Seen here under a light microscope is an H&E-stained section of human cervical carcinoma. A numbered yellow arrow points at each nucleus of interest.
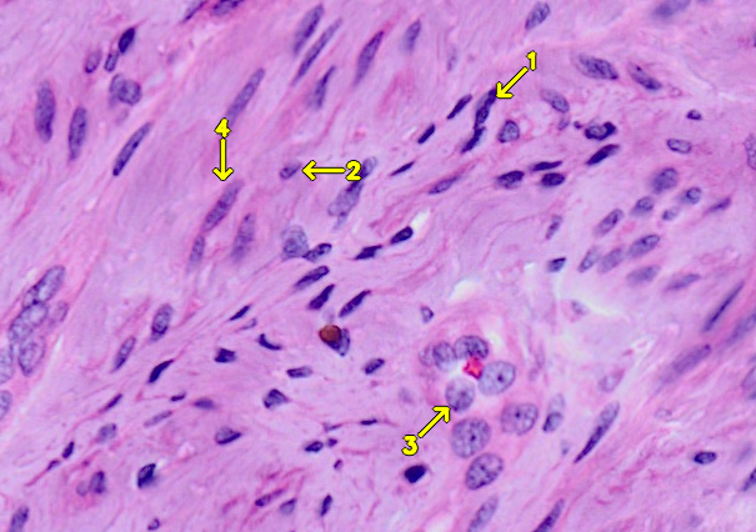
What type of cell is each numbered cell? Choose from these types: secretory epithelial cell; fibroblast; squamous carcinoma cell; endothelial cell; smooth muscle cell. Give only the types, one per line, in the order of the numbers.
fibroblast
smooth muscle cell
endothelial cell
smooth muscle cell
